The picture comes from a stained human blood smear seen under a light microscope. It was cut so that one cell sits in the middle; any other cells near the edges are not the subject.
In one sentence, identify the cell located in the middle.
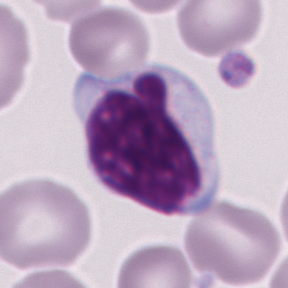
Centred in the crop is a large granular lymphocyte.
